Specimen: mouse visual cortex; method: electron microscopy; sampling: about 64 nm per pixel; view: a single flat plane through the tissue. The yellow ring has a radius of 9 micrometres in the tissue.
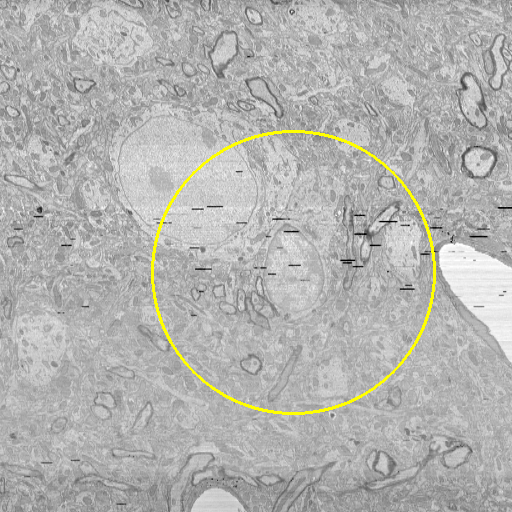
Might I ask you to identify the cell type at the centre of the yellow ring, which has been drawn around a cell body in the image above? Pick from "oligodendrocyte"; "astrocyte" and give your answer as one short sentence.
The centre of the ring falls on an oligodendrocyte.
